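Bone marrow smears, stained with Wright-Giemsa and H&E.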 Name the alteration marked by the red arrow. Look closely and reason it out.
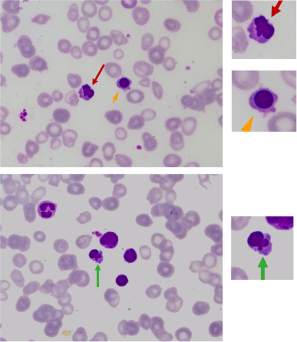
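The marked cell's purple nucleus has an uneven outline with protruding buds.
Hence: Irregular budding nucleus.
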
